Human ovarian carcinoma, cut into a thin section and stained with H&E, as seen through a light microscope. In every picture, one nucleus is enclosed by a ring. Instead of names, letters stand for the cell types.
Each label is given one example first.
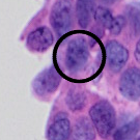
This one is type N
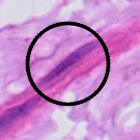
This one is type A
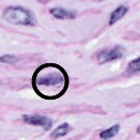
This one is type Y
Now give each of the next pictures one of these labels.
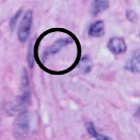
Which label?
type Y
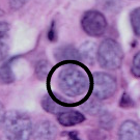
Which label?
type N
